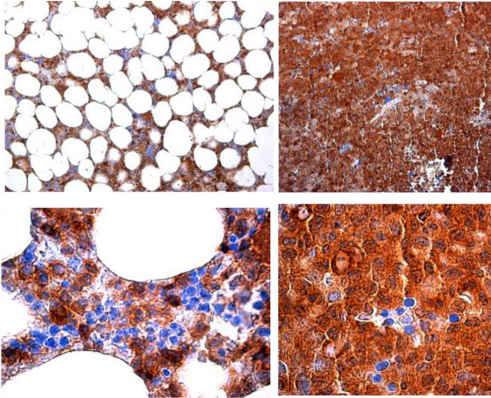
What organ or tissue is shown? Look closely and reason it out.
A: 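Left images show many large round clear fat spaces with cell-rich strands between them. That points to this answer: bone marrow.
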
